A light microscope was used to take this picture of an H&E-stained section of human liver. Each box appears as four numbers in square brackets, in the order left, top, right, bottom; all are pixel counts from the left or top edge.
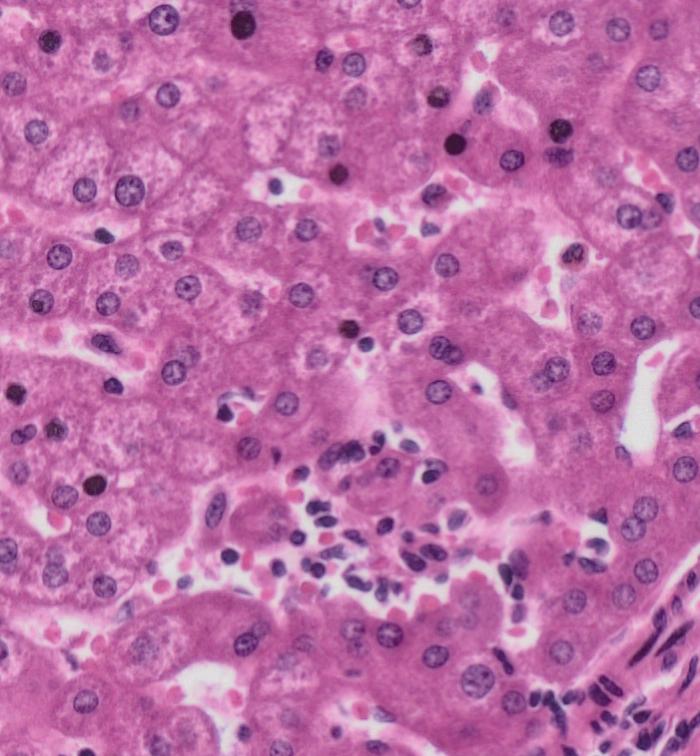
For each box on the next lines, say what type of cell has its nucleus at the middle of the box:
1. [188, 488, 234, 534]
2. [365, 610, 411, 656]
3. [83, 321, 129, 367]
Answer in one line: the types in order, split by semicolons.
Kupffer cell; hepatocyte; Kupffer cell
